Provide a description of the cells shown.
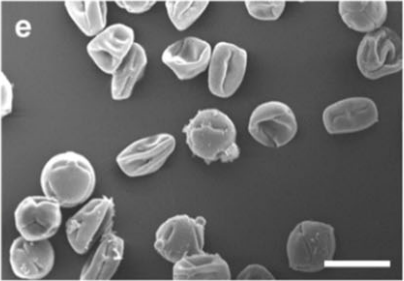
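Scanning electron micrograph of many pollen grains that differ markedly in form. Many grains are collapsed and shrivelled, elongated with deep longitudinal folds and caved-in walls. Only a few grains keep a rounded, full shape with furrows like normal pollen.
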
